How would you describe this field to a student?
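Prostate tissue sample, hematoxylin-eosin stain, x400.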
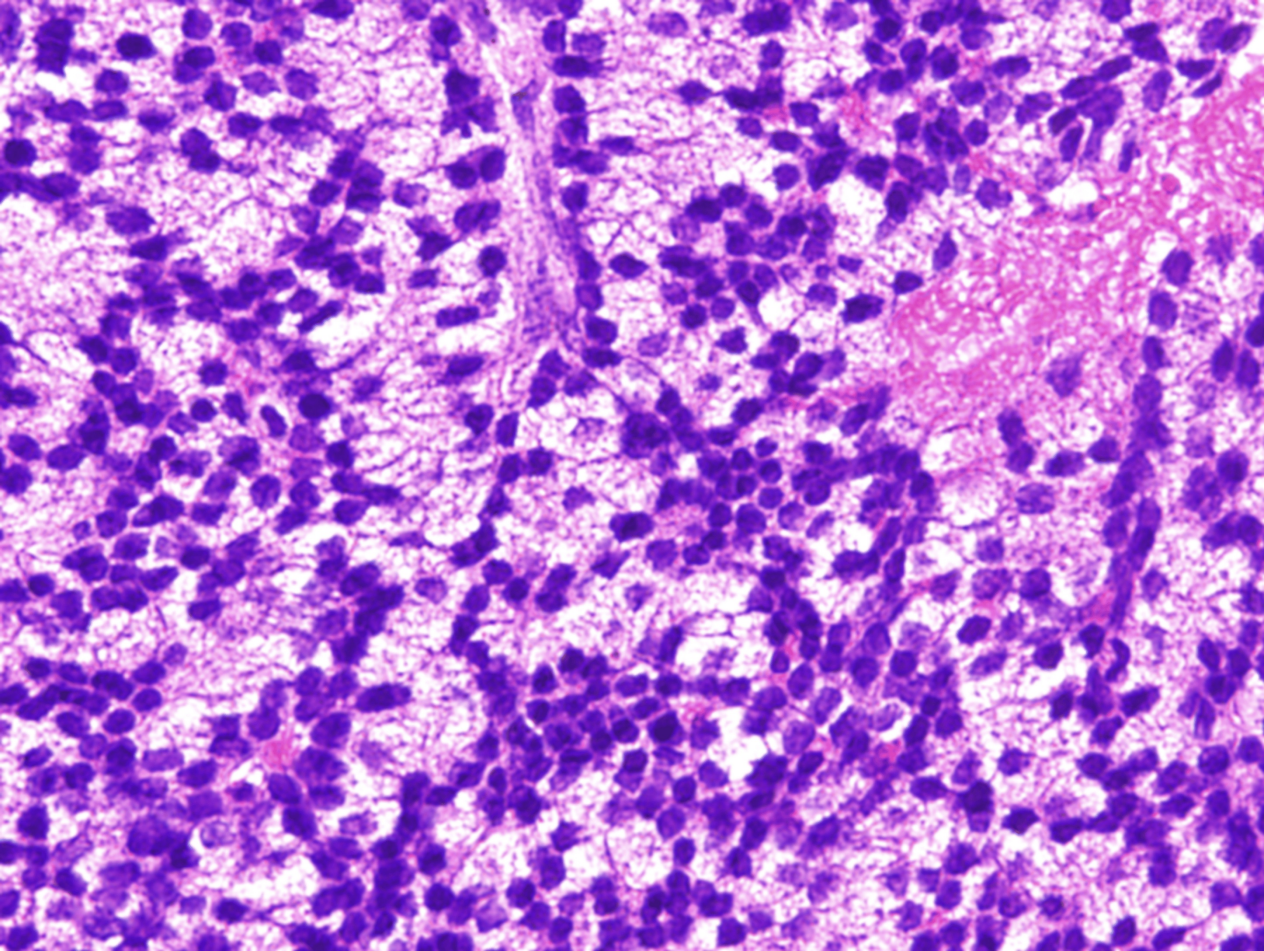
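The tumour cells lie crowded in cords, clusters and loose sheets, sometimes lining up along thin strands. Their nuclei are rounded to oval, dark purple and hyperchromatic, and they make up most of each cell, with only a scant rim of cytoplasm. Between the cell groups lies a pale, finely fibrillary to vacuolated pink background with clear spaces. A thin vessel-like strand crosses the upper part of the field. Toward the upper right there is a patch of brighter pink, eosinophilic material.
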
